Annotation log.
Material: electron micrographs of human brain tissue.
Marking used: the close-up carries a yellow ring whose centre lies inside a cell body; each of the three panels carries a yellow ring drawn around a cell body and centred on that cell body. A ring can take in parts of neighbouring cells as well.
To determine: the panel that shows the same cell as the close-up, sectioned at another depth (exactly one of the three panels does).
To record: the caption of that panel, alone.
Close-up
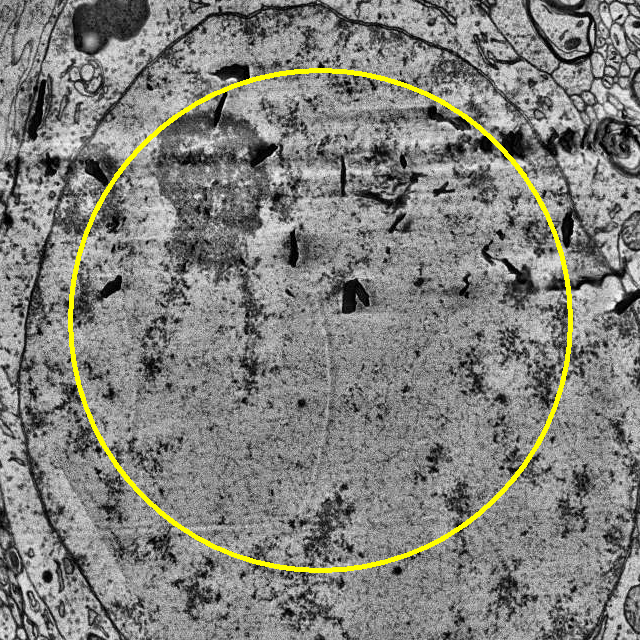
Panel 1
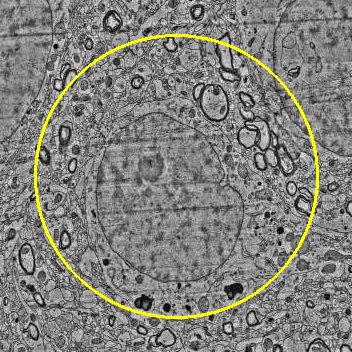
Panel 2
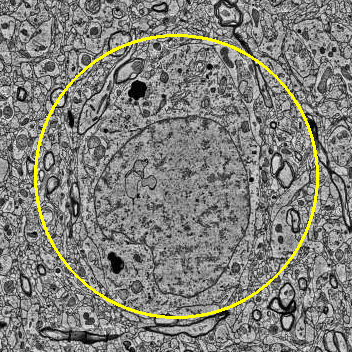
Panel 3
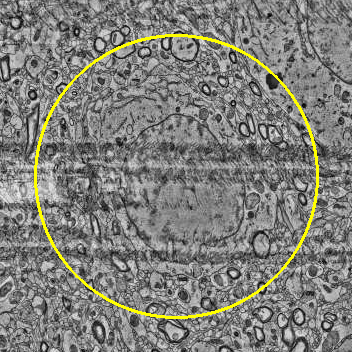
Panel 3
